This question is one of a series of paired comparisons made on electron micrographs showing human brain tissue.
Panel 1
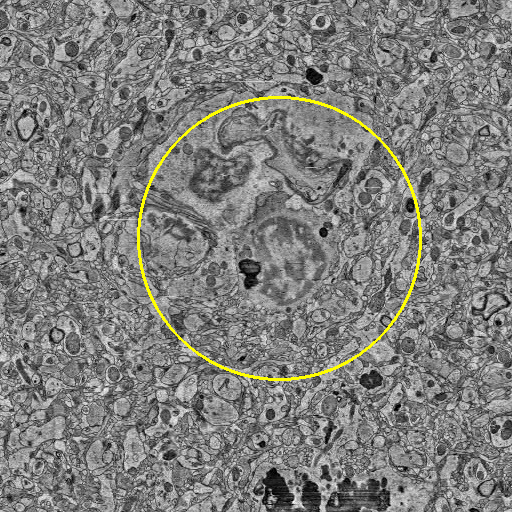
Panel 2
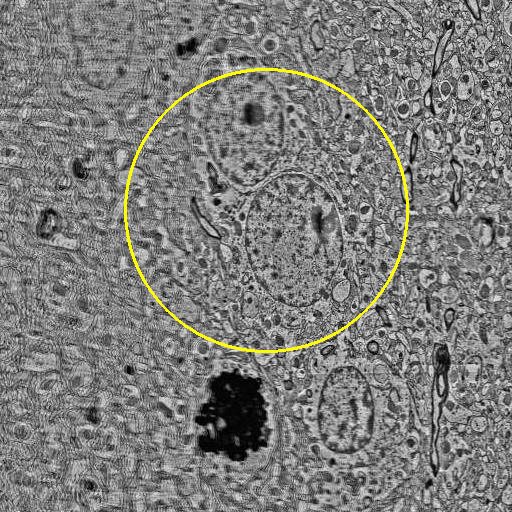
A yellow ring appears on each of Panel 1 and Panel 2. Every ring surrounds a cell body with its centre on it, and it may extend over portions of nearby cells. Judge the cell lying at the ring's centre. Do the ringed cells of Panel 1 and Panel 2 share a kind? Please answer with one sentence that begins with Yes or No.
No, the ring-centre cell in Panel 1 and the one in Panel 2 are of two kinds.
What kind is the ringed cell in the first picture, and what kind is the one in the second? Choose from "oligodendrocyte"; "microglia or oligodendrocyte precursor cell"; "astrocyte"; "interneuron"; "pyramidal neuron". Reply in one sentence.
The first cell is an oligodendrocyte; the second is an astrocyte.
